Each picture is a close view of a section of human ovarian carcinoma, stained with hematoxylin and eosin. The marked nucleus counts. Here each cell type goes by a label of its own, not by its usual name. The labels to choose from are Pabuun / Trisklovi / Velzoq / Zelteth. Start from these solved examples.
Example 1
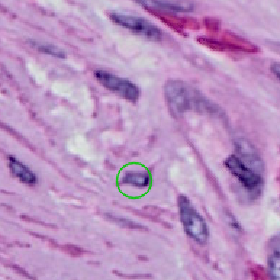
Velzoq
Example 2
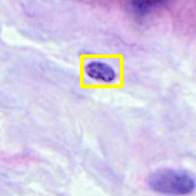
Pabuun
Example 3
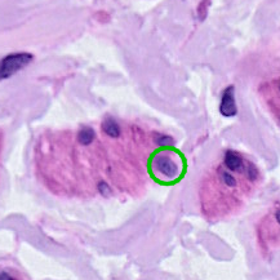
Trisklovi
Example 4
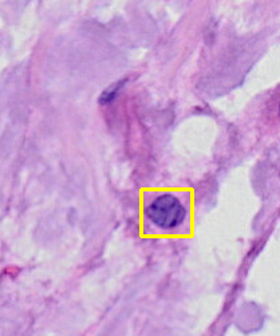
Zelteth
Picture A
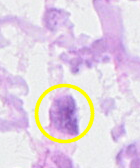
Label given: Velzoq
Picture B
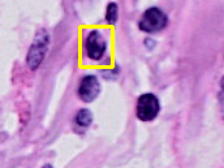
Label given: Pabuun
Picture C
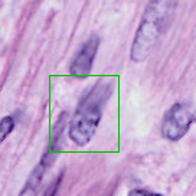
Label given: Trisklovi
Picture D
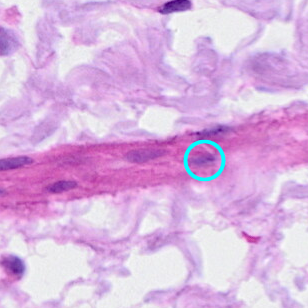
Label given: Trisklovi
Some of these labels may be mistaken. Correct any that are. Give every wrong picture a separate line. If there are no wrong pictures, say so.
C: not Trisklovi but Zelteth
